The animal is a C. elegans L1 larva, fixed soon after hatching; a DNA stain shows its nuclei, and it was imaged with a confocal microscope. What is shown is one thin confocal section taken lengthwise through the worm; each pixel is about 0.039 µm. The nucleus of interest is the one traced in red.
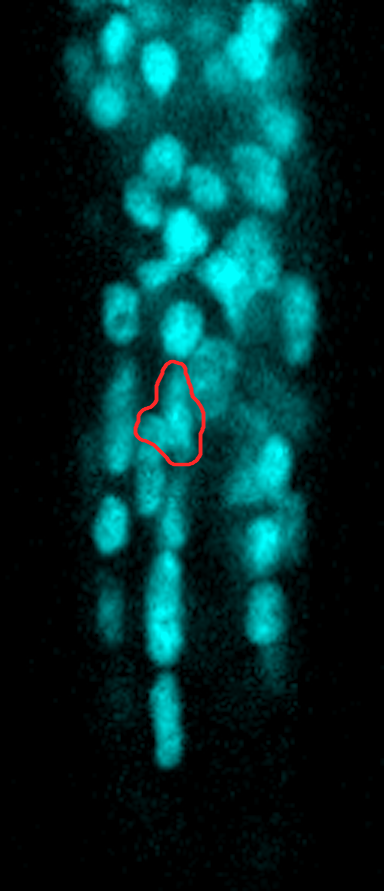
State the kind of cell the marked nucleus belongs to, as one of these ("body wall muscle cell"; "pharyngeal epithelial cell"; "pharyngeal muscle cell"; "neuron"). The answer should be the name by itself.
pharyngeal epithelial cell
